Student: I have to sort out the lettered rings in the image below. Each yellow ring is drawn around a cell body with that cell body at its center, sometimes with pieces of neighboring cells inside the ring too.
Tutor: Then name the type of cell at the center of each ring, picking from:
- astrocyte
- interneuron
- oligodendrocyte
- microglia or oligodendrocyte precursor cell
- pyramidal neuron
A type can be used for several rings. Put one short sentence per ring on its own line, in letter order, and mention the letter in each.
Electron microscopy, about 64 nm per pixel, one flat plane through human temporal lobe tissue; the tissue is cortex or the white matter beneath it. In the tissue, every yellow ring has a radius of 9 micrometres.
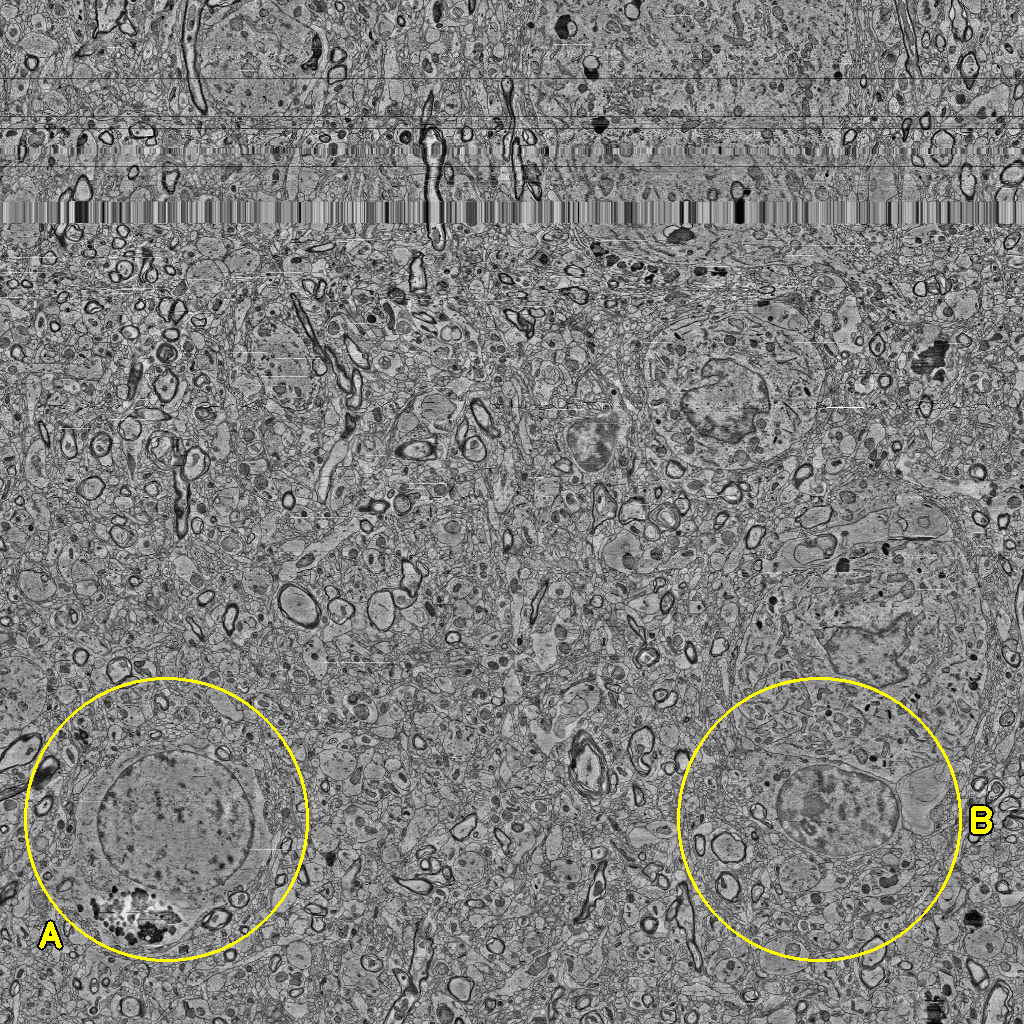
Inside ring A, at its center, is an astrocyte.
Inside ring B, at its center, is an oligodendrocyte.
